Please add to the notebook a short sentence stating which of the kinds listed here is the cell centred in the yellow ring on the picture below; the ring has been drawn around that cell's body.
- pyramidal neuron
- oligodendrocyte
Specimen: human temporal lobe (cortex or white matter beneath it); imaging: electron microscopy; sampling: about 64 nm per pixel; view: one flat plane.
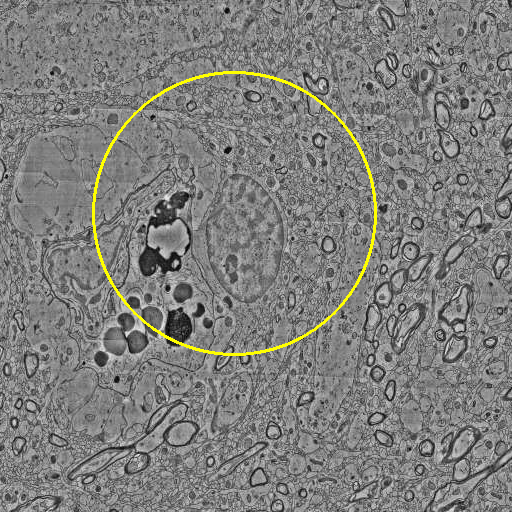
The cell centred in the yellow ring is an oligodendrocyte.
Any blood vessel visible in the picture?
Yes.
